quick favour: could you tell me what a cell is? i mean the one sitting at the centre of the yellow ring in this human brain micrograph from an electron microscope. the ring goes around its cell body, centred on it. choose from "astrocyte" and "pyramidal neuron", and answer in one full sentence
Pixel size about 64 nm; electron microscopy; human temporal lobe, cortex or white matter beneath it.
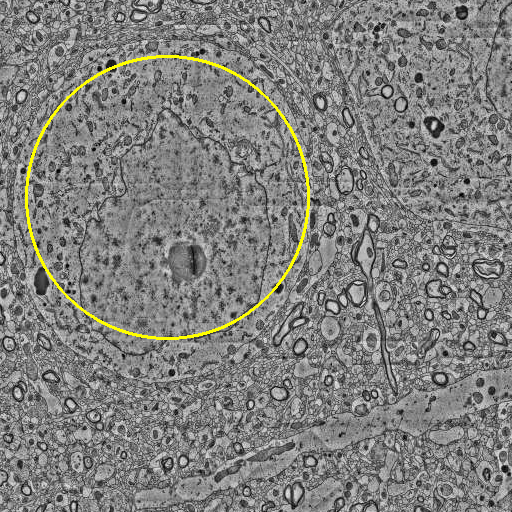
That's a pyramidal neuron, the cell sitting at the centre of the yellow ring.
